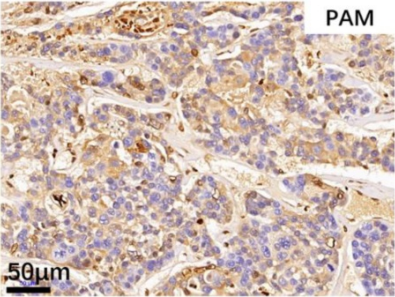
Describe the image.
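This section of tumor tissue shows nests and sheets of crowded tumor cells with round blue nuclei. Pale pink-white bands of stroma separate the nests. A light brown tint lies over much of the cytoplasm and background. A few scattered cells carry darker brown staining.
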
